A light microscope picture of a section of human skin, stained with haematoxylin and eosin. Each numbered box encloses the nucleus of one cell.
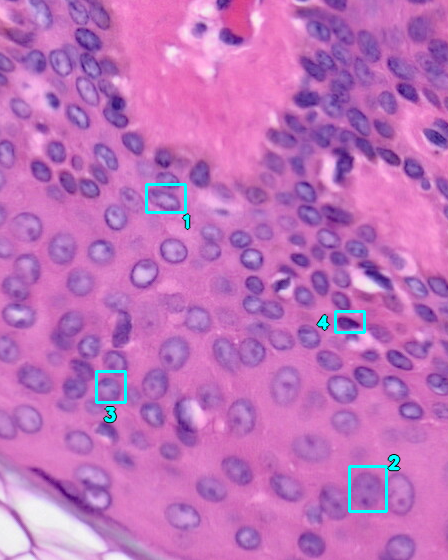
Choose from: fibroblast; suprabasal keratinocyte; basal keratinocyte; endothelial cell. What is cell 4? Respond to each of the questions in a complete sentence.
Marked with the number 4, this cell is a basal keratinocyte.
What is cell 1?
Cell 1 is classified as a suprabasal keratinocyte.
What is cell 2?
The mark numbered 2 indicates the nucleus of a suprabasal keratinocyte.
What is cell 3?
Identified by the number 3, the cell is a suprabasal keratinocyte.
